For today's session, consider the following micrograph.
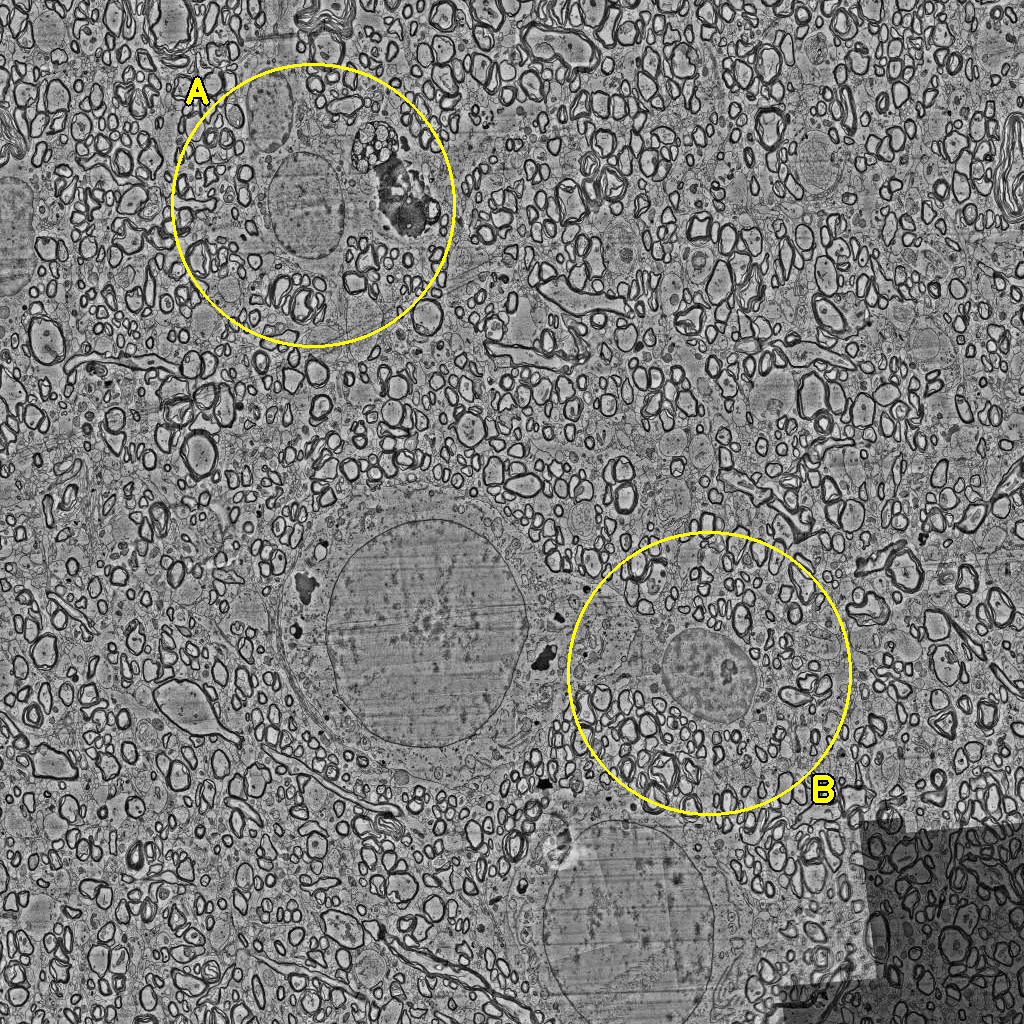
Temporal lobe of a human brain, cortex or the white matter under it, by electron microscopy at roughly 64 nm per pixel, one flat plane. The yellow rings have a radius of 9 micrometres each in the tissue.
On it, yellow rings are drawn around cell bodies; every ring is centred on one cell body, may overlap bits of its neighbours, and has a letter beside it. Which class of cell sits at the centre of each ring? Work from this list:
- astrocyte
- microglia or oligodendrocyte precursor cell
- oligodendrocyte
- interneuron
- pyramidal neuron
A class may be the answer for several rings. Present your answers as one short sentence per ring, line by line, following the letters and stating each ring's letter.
Ring A centres on an astrocyte.
Ring B centres on an oligodendrocyte.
